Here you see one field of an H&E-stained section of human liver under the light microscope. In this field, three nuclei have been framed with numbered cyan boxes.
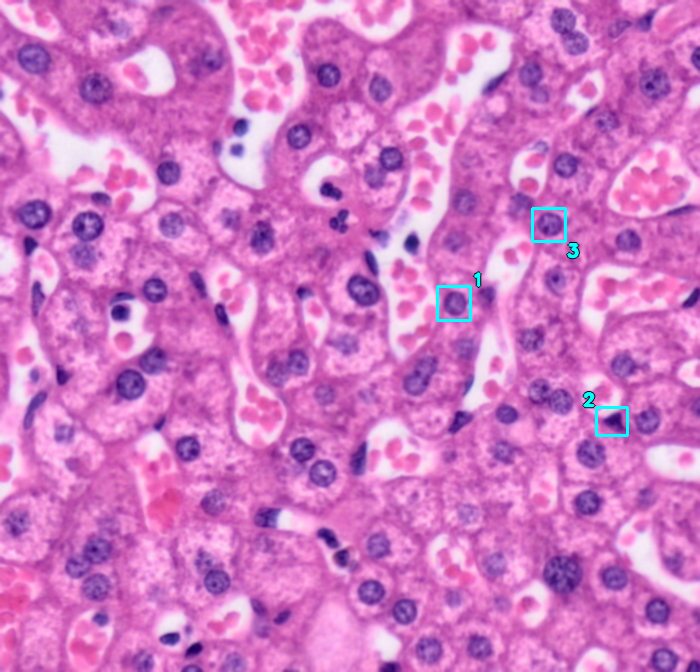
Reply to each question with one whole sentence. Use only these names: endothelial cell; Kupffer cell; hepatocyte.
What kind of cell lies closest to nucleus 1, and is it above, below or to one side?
The nearest one is a Kupffer cell, found to the right of nucleus 1.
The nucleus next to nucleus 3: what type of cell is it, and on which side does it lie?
The nearest nucleus is that of an endothelial cell and lies above and to the left of nucleus 3.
